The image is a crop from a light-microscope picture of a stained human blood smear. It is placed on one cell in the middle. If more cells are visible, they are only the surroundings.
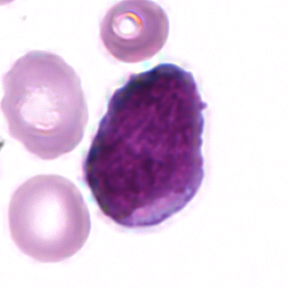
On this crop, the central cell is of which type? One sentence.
The cell centred in this crop is categorized as an atypical promyelocyte.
